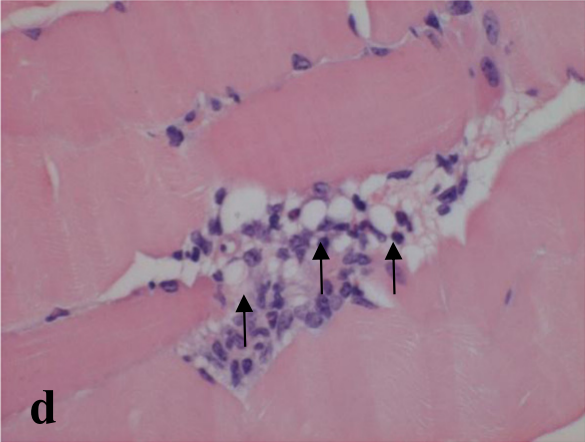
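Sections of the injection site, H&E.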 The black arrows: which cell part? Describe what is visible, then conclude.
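Intracellular vacuoles. The arrows point to clear round empty spaces. The clear spaces lie among clustered dark nuclei between muscle fibres.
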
